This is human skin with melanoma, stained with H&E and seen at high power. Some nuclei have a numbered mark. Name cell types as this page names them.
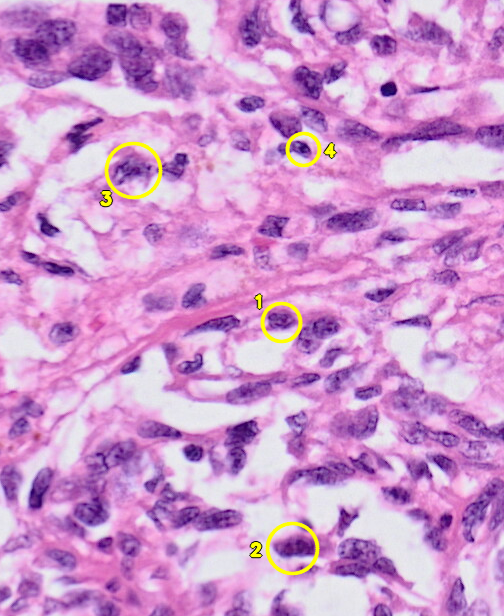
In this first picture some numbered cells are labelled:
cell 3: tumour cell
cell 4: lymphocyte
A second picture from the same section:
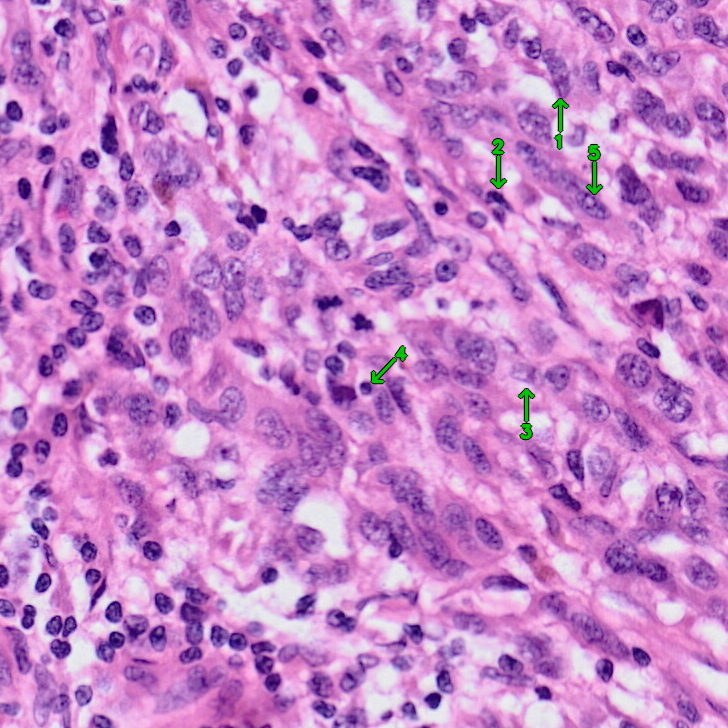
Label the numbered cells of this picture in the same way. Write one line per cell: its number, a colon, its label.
1: tumour cell
2: lymphocyte
3: tumour cell
4: lymphocyte
5: tumour cell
